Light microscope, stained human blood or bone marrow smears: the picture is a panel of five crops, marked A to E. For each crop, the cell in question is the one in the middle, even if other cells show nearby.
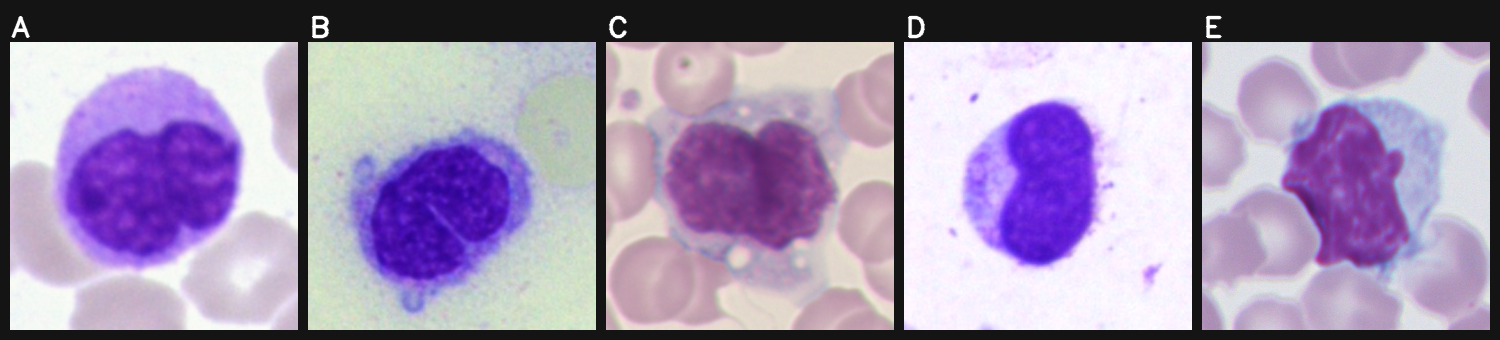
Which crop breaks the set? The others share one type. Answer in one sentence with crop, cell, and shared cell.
The odd one out is crop D, a metamyelocyte, and all other crops show monocytes.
